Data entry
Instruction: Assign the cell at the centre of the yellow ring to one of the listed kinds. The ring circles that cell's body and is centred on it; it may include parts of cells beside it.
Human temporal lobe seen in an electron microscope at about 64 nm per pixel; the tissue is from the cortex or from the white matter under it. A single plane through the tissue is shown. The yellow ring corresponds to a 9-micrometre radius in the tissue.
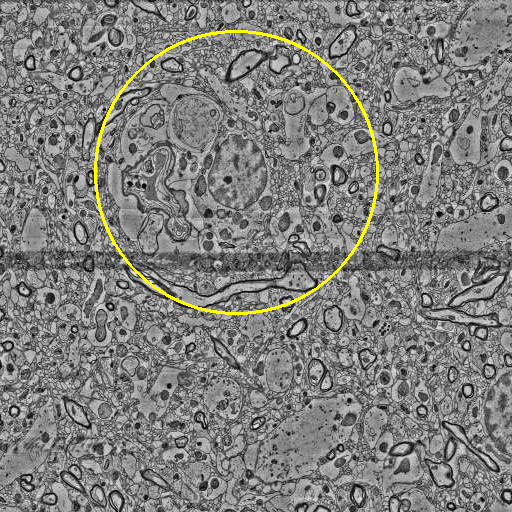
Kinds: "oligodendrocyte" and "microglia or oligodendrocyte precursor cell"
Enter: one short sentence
The centre of the ring falls on an oligodendrocyte.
